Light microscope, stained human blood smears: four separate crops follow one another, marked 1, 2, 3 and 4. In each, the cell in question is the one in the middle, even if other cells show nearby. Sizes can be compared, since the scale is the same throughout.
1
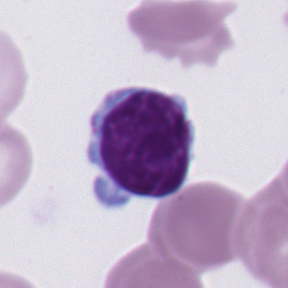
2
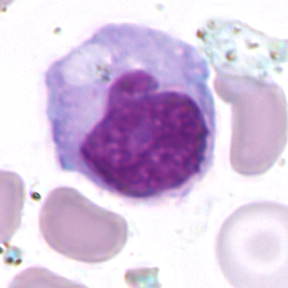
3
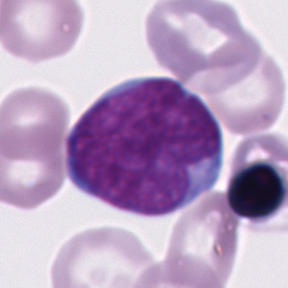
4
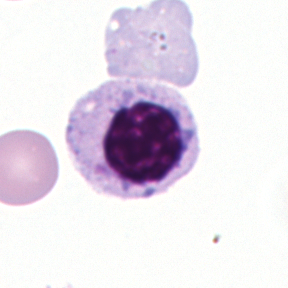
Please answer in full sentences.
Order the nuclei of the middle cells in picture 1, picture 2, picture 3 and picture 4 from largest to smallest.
From the largest down, the order is 3, 2, 1, 4.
